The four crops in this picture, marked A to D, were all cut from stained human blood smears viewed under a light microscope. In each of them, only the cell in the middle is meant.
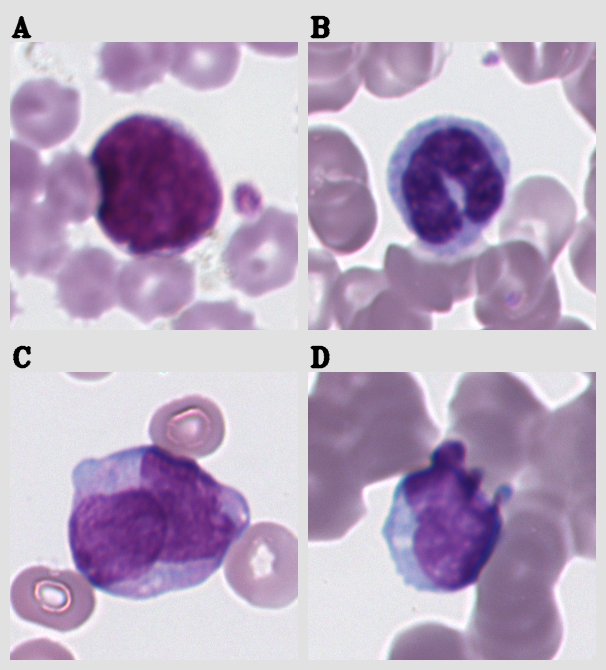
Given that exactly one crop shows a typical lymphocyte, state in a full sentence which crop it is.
Crop D matches the request, showing a typical lymphocyte.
